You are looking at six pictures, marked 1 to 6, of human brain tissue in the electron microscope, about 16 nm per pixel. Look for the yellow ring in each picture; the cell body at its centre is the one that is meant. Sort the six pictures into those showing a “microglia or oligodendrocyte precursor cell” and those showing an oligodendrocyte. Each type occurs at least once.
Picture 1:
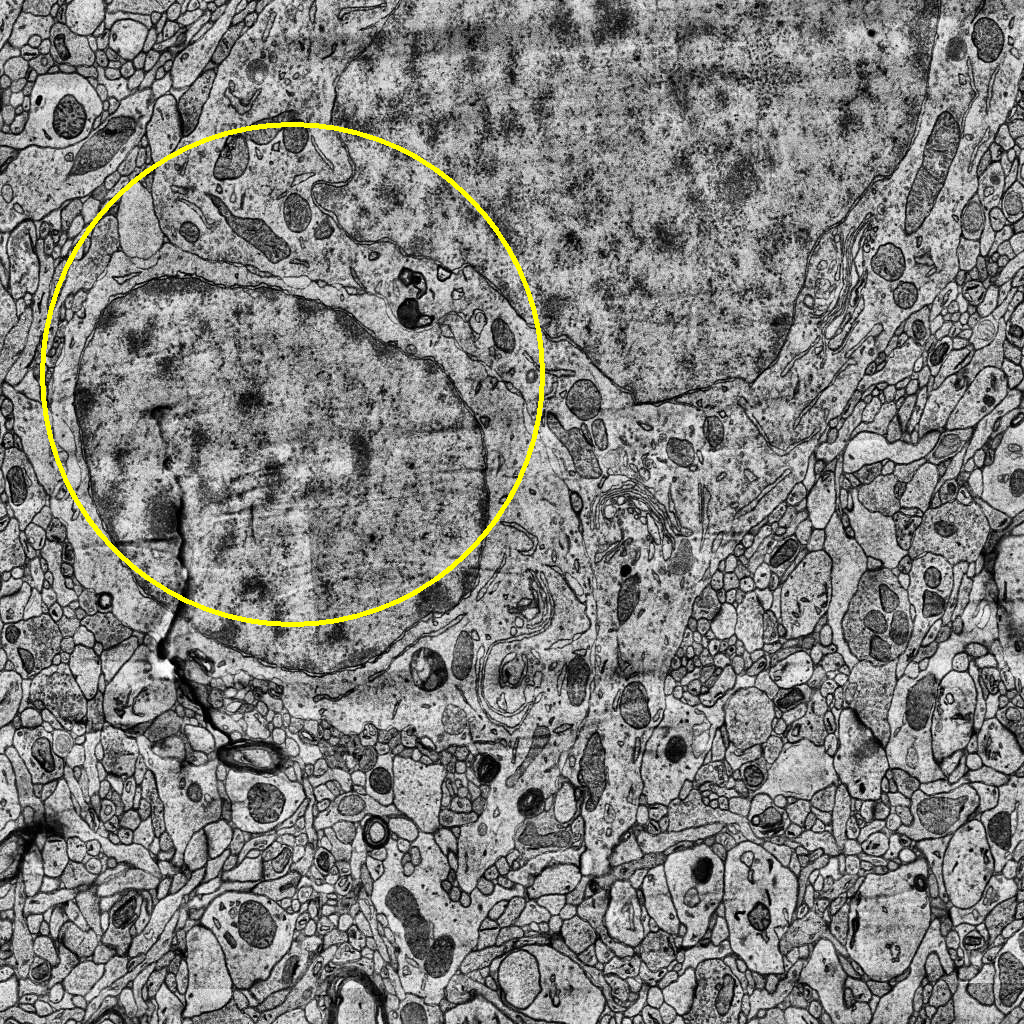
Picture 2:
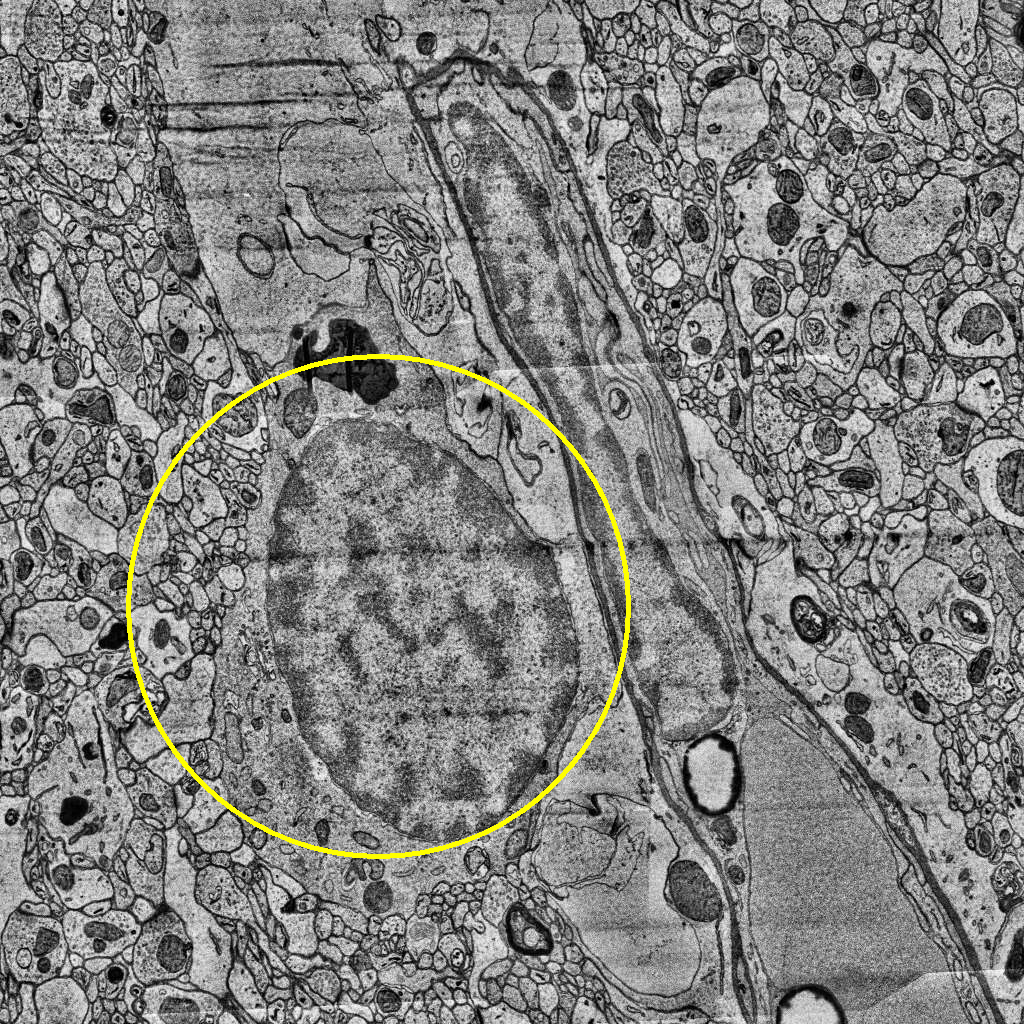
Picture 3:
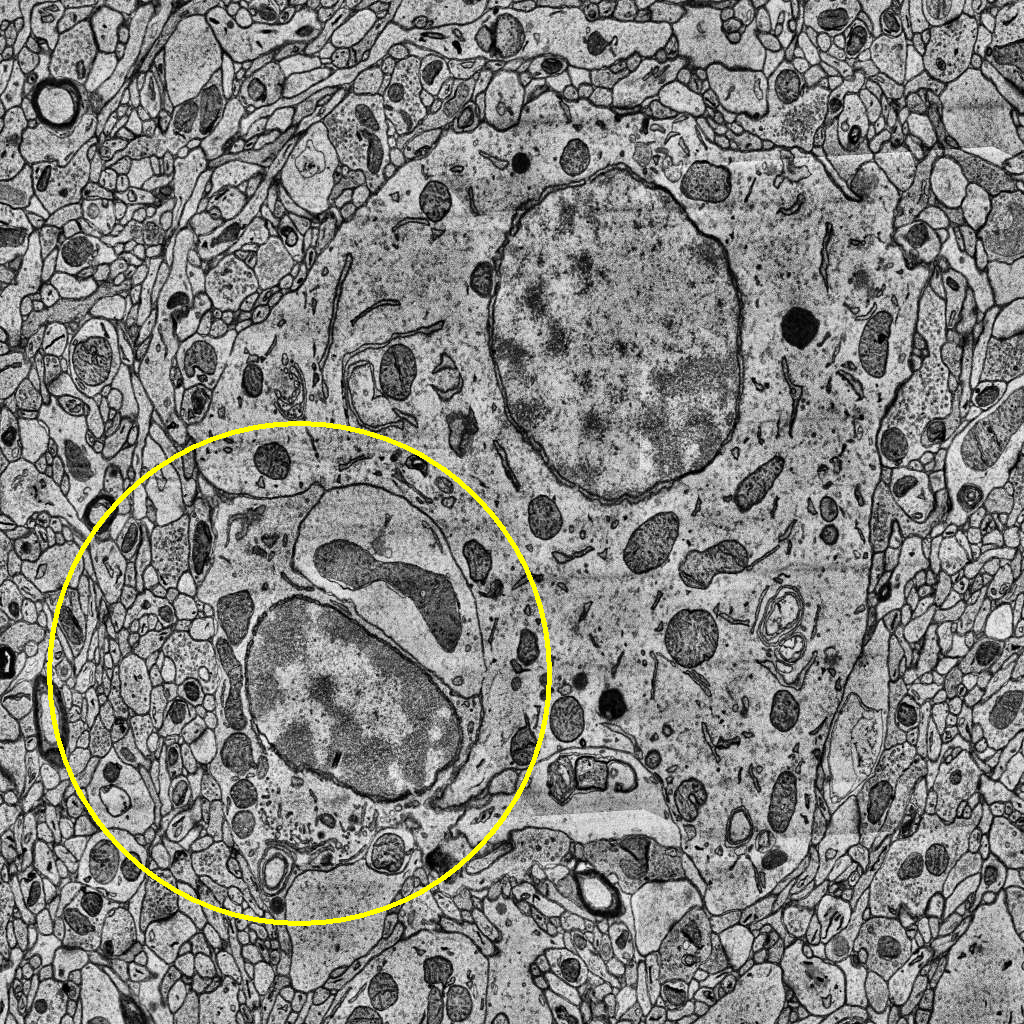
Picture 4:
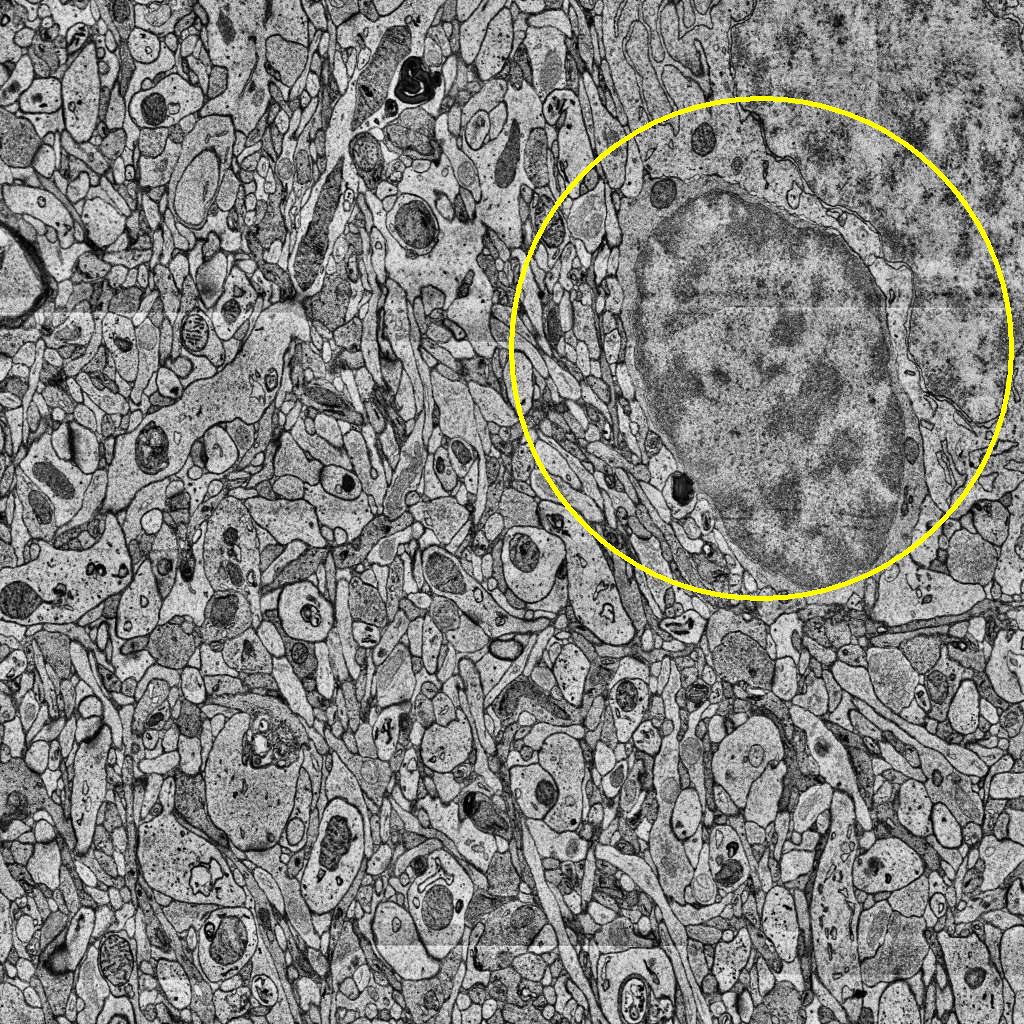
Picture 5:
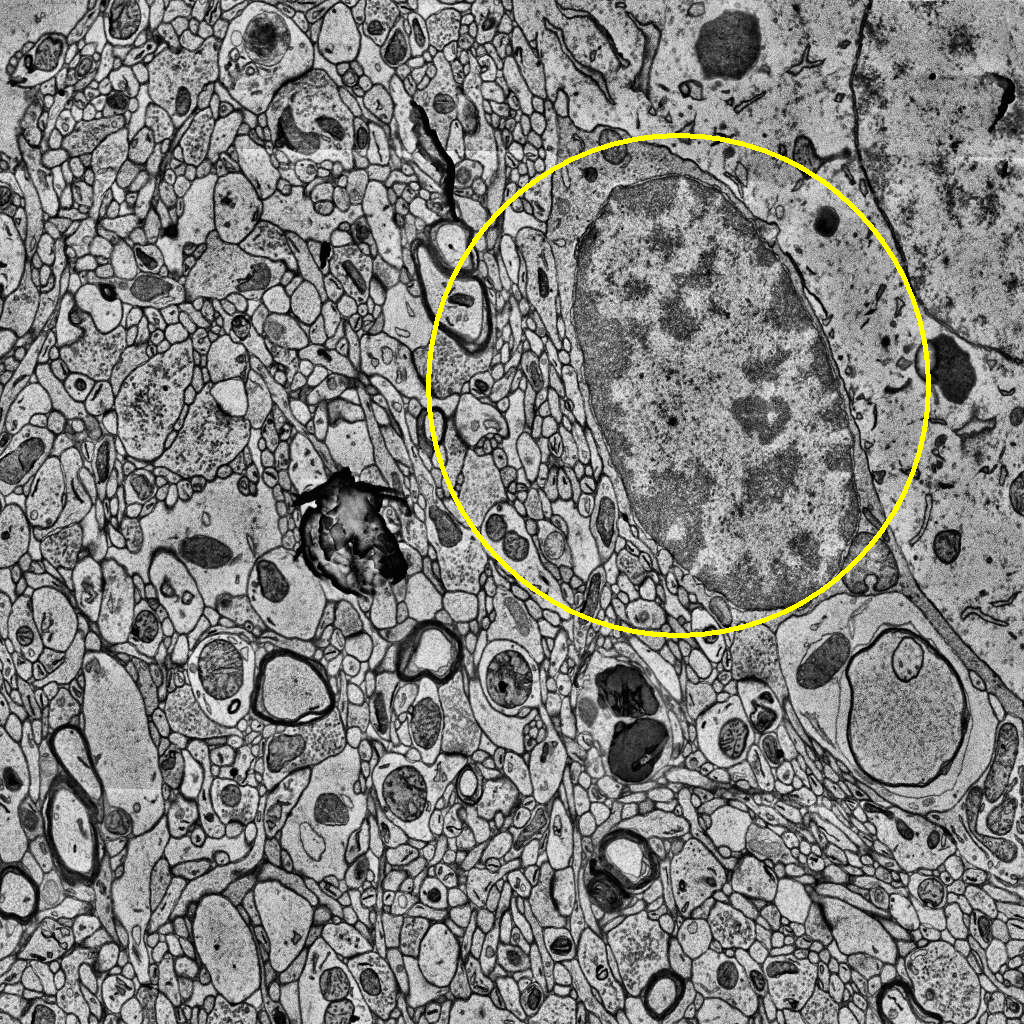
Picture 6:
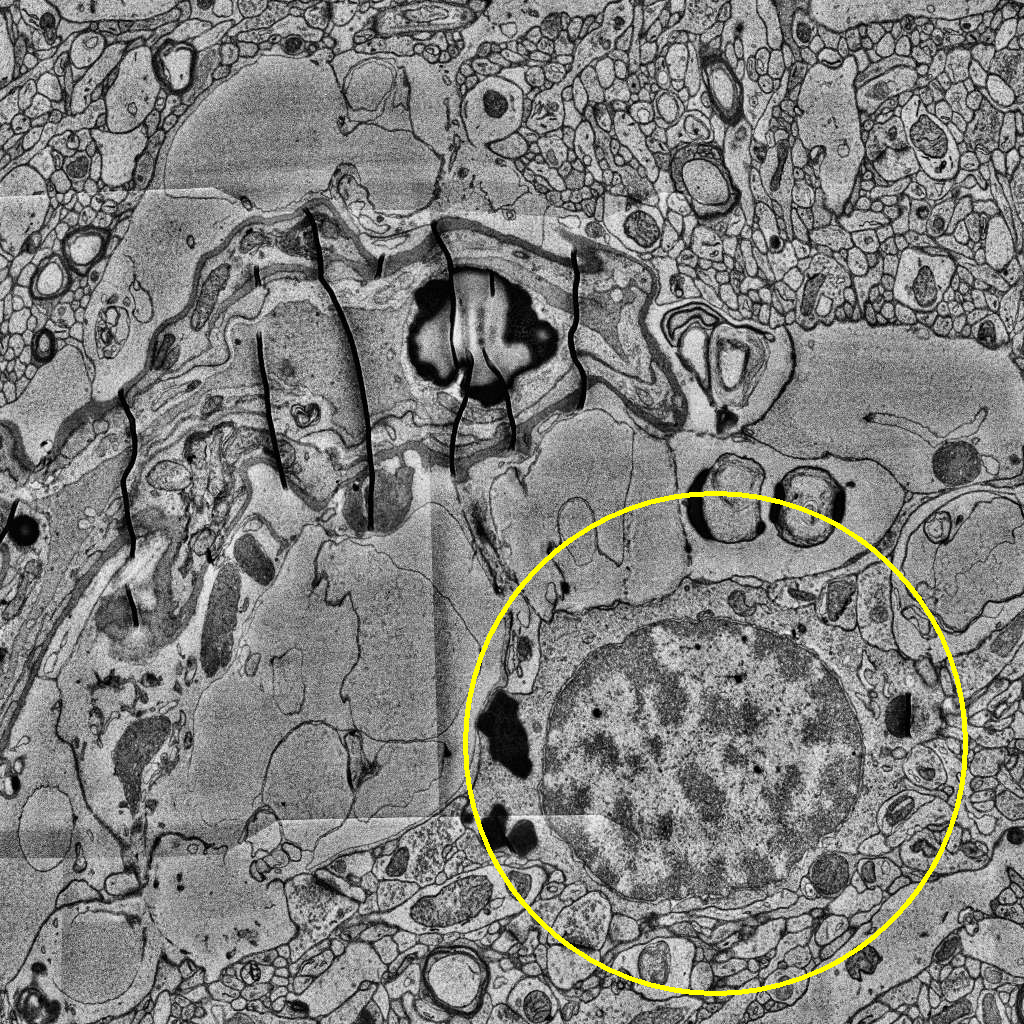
Pictures 1 and 3 show “microglia or oligodendrocyte precursor cells”, and pictures 2, 4, 5 and 6 show oligodendrocytes.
